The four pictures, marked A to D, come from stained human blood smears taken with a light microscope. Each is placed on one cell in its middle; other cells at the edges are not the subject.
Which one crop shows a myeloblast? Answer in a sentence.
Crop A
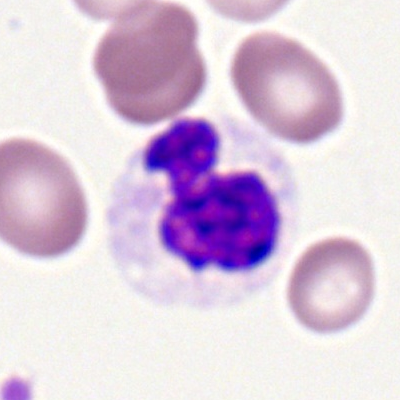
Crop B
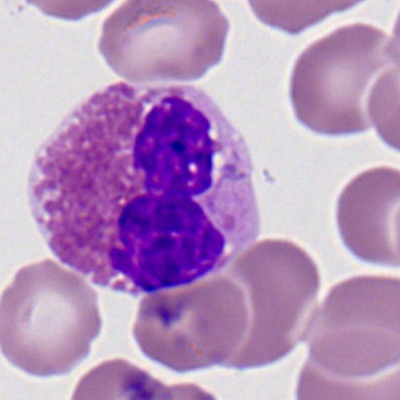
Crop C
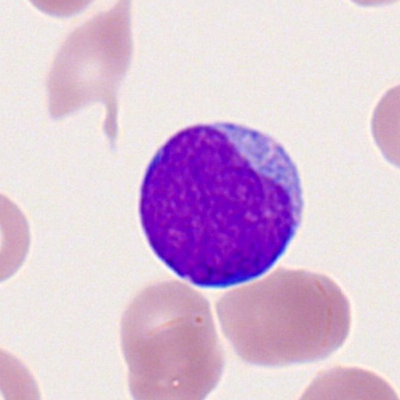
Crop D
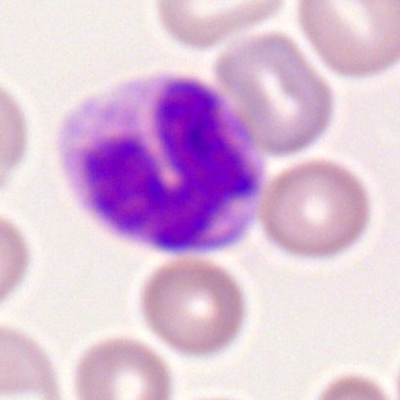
It is in crop C, among all the crops, that a myeloblast is present.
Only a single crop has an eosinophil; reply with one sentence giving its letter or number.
Of all the crops, crop B is the one showing an eosinophil.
